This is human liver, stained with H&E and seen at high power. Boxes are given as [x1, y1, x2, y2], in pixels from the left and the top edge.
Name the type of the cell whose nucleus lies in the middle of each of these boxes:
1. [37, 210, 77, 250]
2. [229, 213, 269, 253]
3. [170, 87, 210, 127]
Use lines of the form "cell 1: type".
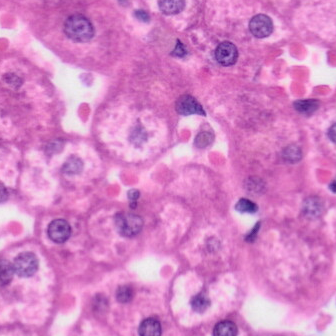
cell 1: hepatocyte
cell 2: endothelial cell
cell 3: endothelial cell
